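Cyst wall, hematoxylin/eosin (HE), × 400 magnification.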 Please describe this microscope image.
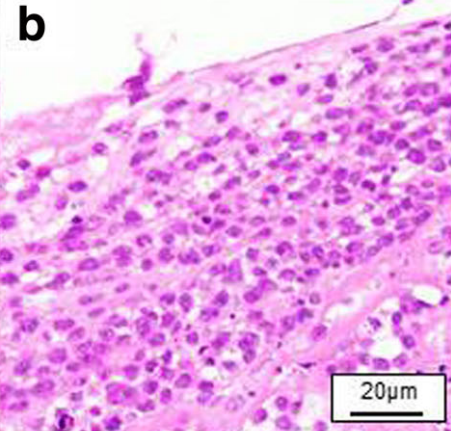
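The cells are small and round with scant, pale cytoplasm. Thin strands of pink fibrous tissue run between groups of cells. A few clear vacuoles are scattered among them.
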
